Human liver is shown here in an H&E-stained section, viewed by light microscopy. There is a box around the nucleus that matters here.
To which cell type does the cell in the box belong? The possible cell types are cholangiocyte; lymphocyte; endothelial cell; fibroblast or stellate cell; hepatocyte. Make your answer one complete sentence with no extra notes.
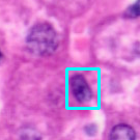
In cell-type terms, the cell in the box is a fibroblast or stellate cell.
